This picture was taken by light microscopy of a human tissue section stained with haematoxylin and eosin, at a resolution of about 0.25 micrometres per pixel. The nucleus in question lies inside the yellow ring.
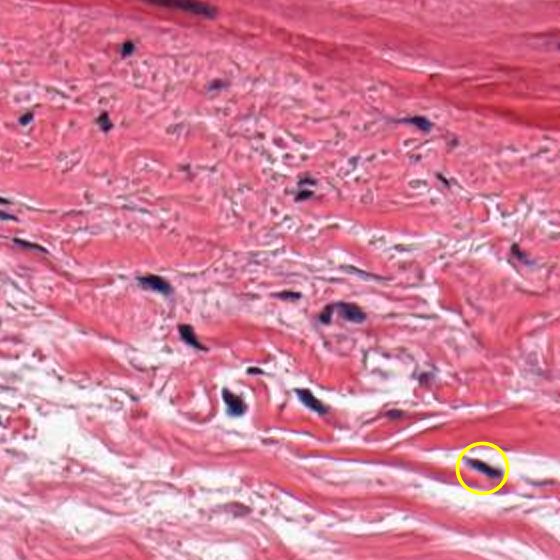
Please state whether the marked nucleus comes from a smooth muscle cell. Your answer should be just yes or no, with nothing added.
no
